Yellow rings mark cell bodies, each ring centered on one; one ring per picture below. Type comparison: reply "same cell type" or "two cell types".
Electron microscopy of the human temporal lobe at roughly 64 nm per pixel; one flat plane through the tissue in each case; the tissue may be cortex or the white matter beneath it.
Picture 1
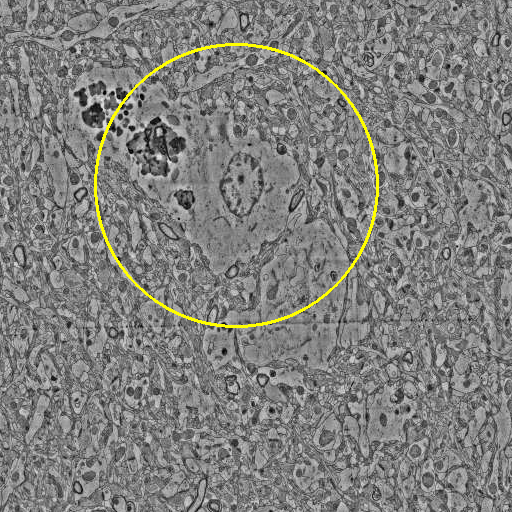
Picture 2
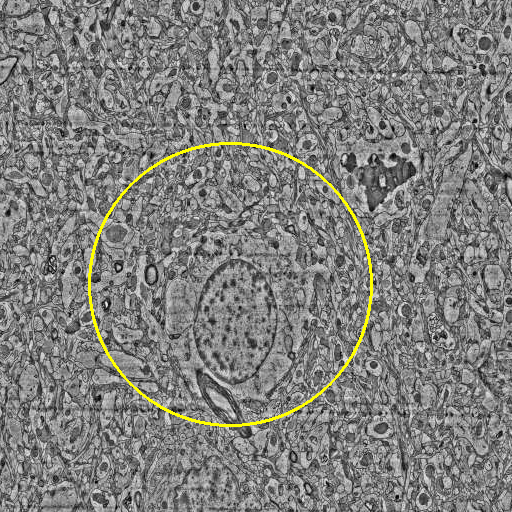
same cell type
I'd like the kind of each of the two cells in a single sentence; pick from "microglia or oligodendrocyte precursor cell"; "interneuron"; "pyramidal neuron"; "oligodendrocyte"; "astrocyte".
In both pictures the ring is centred on an astrocyte.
